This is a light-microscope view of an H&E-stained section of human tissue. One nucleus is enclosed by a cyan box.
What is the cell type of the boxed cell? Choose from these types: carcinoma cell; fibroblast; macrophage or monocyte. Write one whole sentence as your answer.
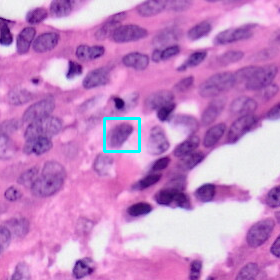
In the tissue at hand, the boxed cell is a macrophage or monocyte.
